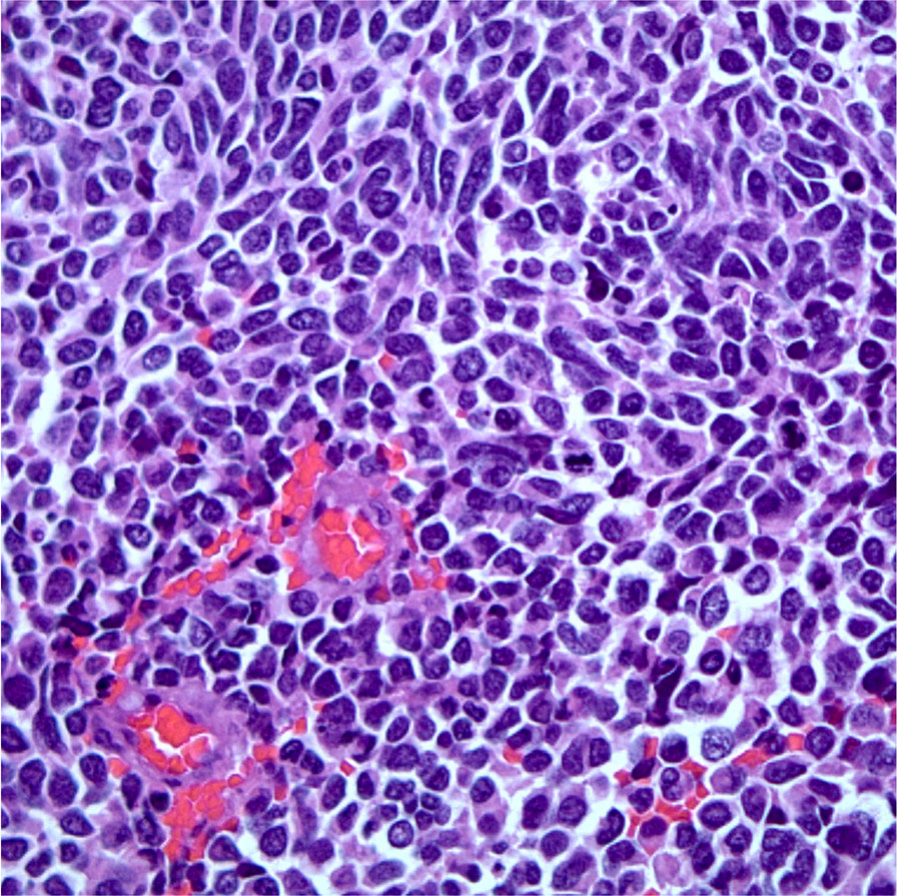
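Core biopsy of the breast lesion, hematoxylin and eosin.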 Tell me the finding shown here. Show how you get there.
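Crowded nuclei press against one another. Adjacent nuclei take on flattened, fitted outlines where they touch.
Hence: nuclear molding.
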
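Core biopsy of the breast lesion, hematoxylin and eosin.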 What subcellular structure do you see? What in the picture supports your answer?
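“salt and pepper” chromatin. Many nuclei show finely speckled, granular dark chromatin. Nucleoli are not prominent.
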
